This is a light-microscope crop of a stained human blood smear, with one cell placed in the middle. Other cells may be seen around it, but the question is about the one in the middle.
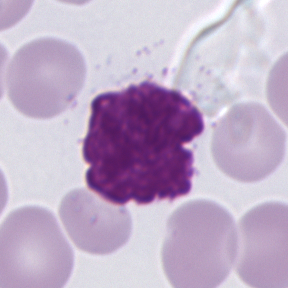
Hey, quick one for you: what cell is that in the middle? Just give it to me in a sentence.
Looking at the middle of the crop, the cell there is a smudge cell.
